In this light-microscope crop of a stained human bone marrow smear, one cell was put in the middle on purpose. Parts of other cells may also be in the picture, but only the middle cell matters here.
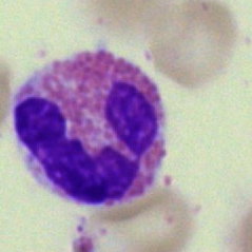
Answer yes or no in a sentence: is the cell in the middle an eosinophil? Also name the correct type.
Yes, the cell shown in the middle is an eosinophil.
